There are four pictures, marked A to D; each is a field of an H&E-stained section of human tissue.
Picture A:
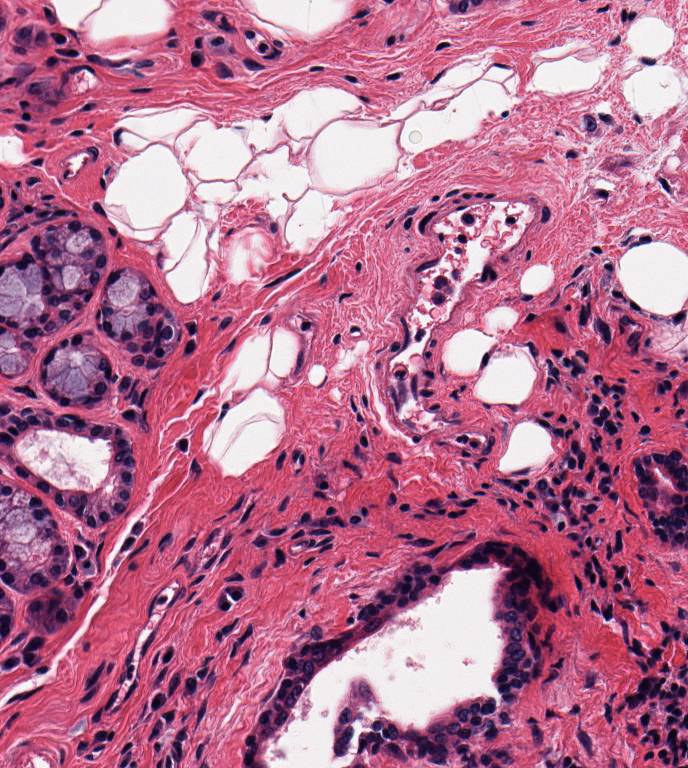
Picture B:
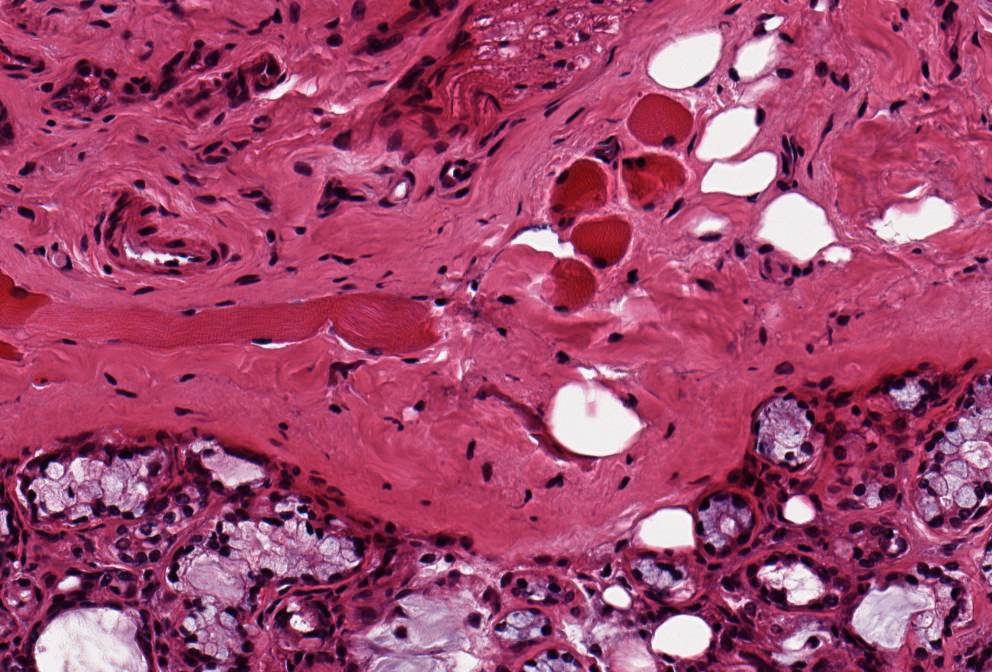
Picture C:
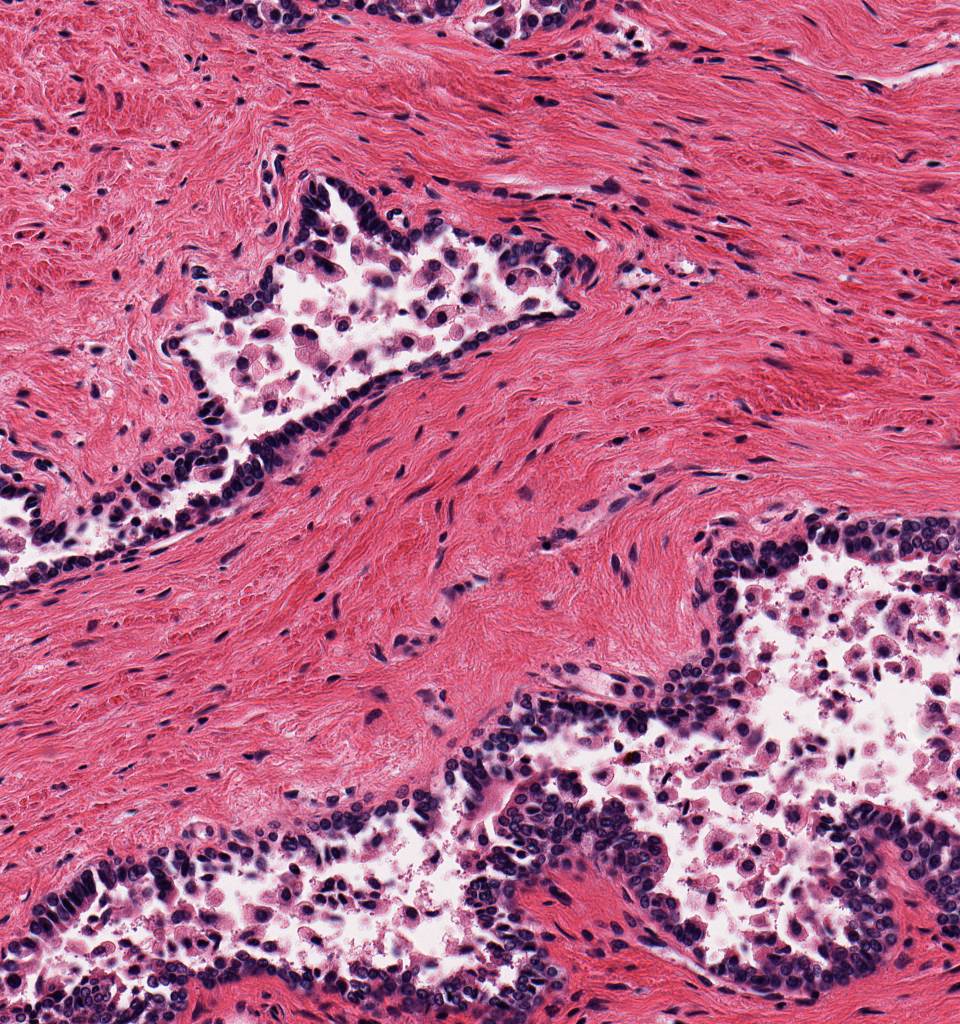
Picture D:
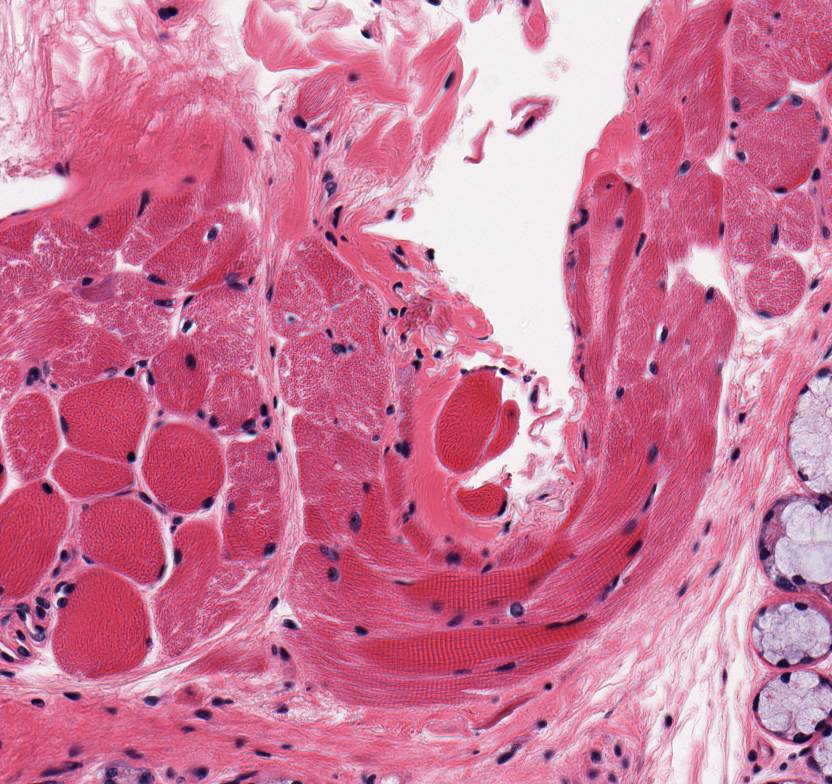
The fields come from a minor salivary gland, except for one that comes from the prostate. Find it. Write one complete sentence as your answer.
Picture C comes from the prostate.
